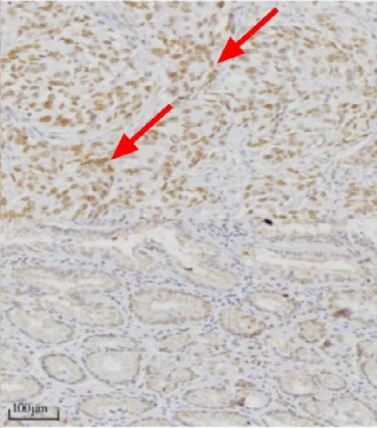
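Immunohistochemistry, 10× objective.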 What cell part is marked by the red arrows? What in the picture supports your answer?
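The red arrows point among densely packed small oval brown bodies. The brown bodies are discrete, one per cell, separated by paler material.
Answer: nucleus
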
